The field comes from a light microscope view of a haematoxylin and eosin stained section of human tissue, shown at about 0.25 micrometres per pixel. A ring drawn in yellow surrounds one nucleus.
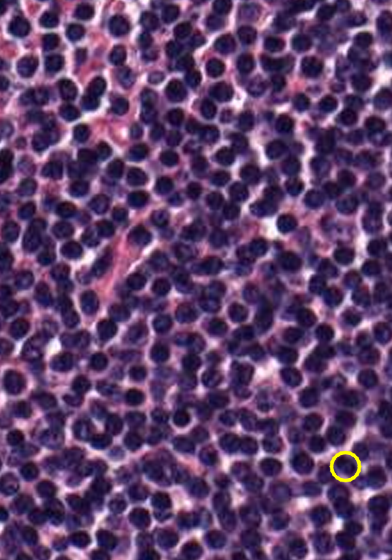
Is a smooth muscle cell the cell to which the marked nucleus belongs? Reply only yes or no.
no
